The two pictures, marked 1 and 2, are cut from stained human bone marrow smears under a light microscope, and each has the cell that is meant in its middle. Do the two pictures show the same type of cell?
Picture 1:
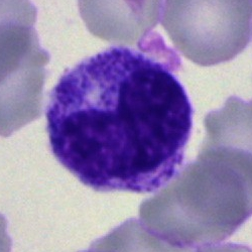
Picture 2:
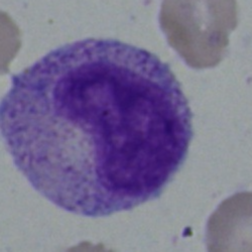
yes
